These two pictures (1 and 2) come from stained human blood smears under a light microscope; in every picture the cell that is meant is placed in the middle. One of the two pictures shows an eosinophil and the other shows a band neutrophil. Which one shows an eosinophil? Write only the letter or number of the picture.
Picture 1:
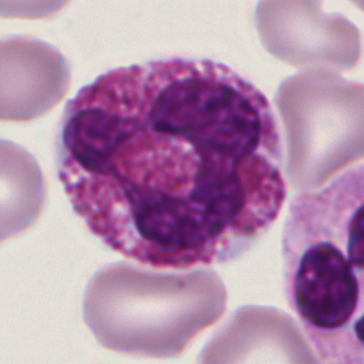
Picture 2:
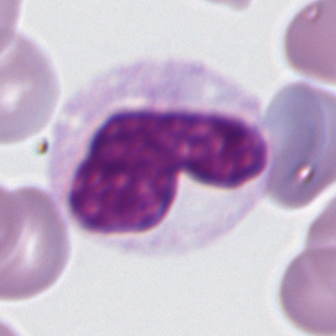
1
